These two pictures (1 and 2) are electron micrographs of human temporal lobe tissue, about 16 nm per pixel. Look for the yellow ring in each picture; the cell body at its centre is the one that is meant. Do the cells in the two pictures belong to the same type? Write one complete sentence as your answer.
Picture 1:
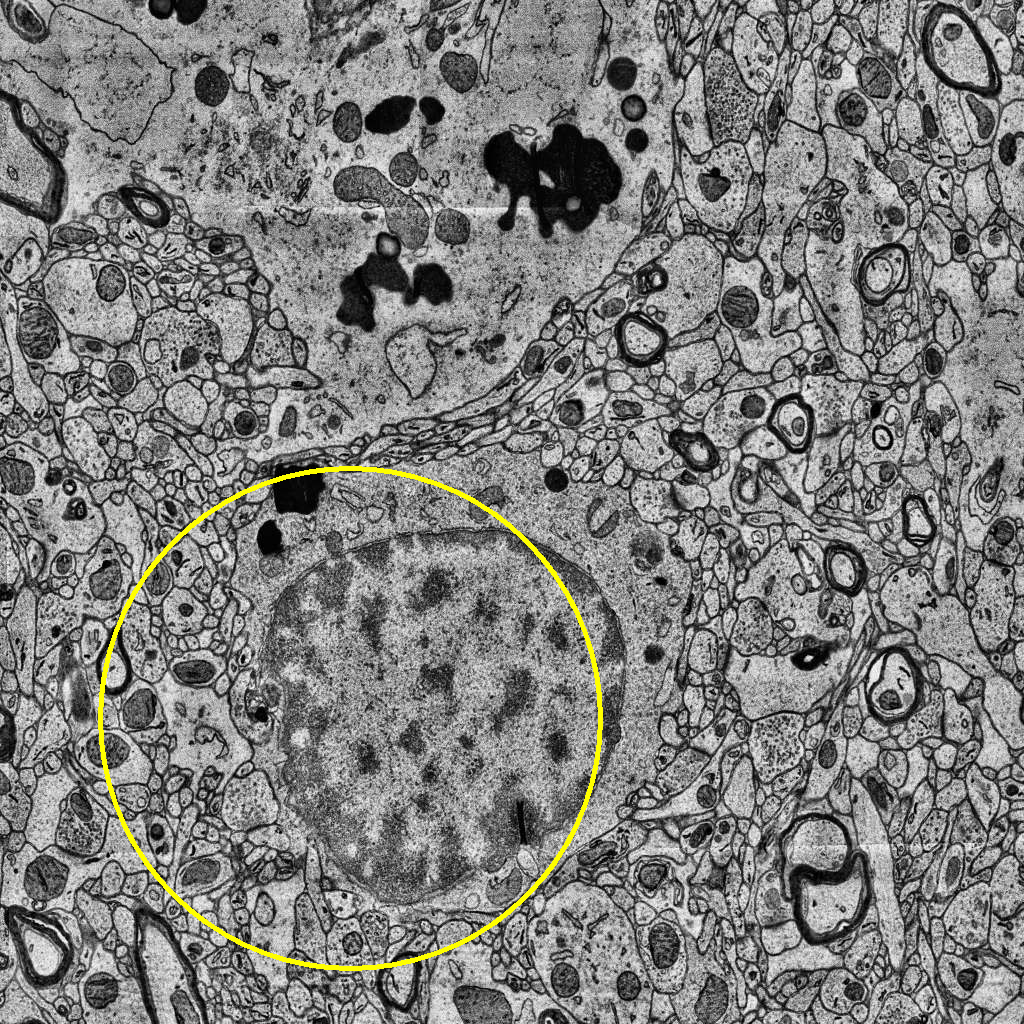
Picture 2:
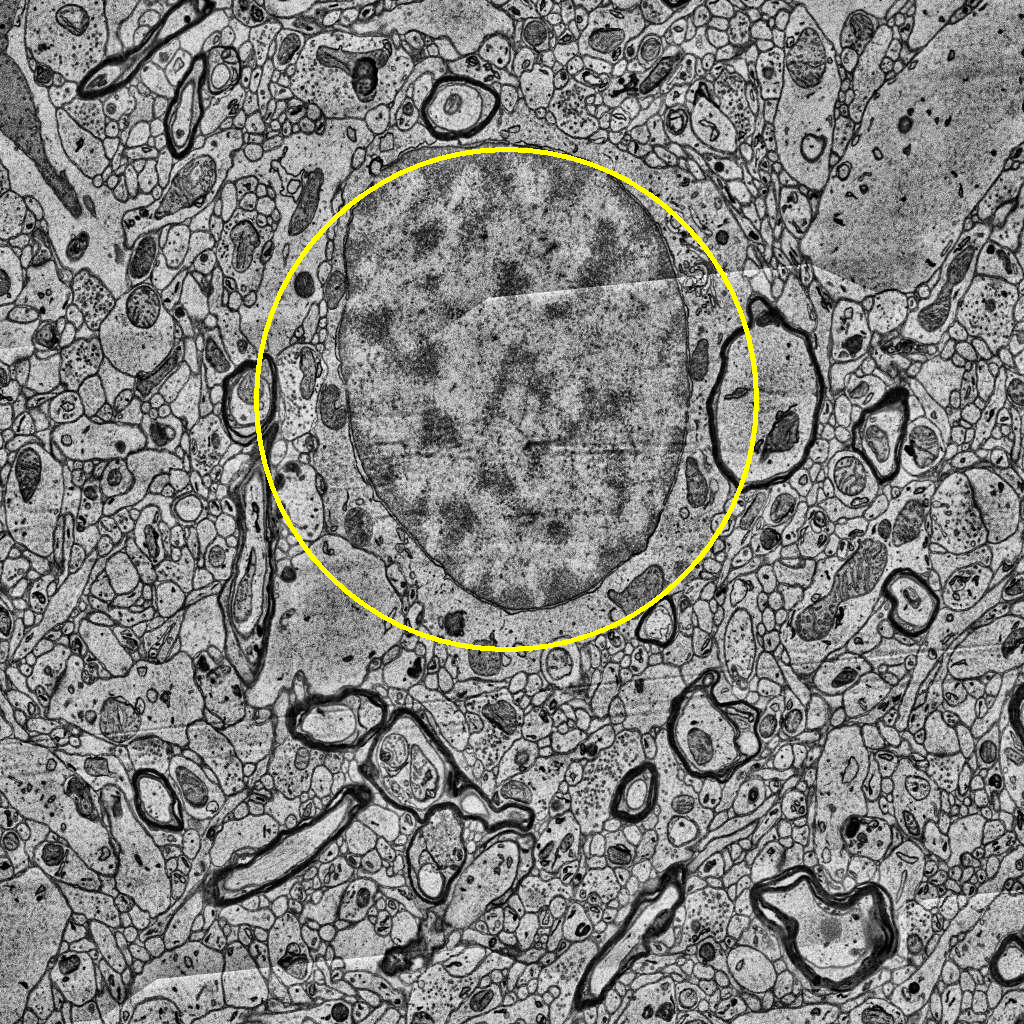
Yes, they are the same type: both are oligodendrocytes.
